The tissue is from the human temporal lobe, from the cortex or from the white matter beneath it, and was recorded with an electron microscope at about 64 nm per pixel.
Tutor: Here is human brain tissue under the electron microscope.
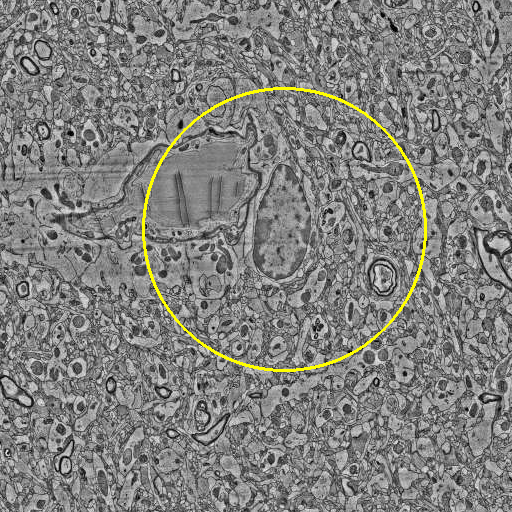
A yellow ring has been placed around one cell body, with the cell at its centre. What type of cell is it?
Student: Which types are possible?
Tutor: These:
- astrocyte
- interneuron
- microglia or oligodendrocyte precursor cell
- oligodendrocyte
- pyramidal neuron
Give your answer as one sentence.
What the ring picks out here is a microglial cell or oligodendrocyte precursor cell.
